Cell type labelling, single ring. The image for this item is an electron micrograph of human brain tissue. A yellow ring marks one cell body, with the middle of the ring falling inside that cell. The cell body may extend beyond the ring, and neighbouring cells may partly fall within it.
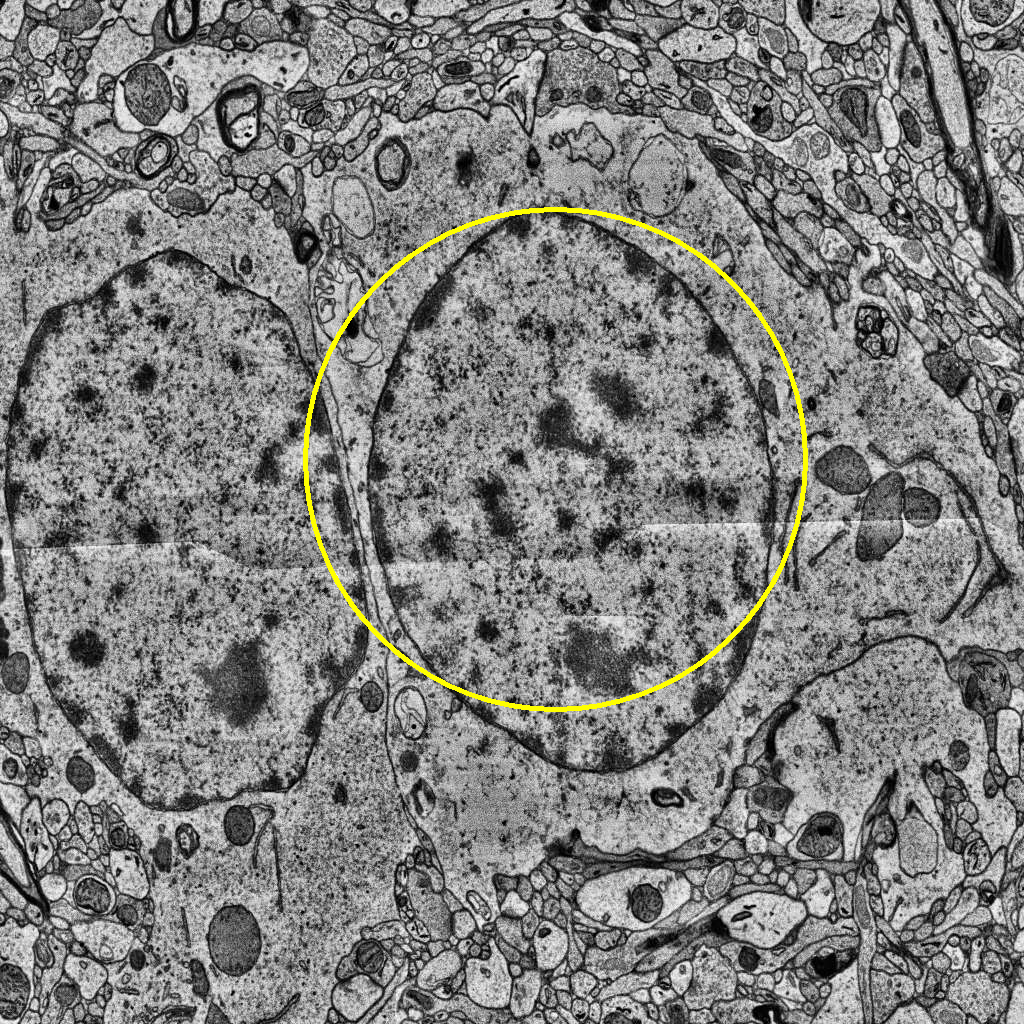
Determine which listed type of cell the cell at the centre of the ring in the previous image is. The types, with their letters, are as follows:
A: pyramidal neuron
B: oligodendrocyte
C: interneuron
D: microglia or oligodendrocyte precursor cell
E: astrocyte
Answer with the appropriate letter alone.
E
